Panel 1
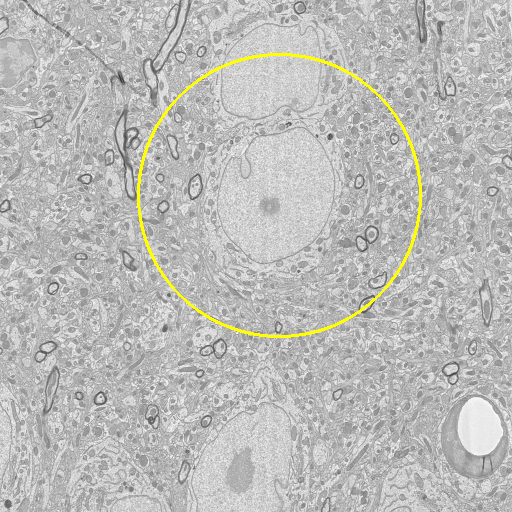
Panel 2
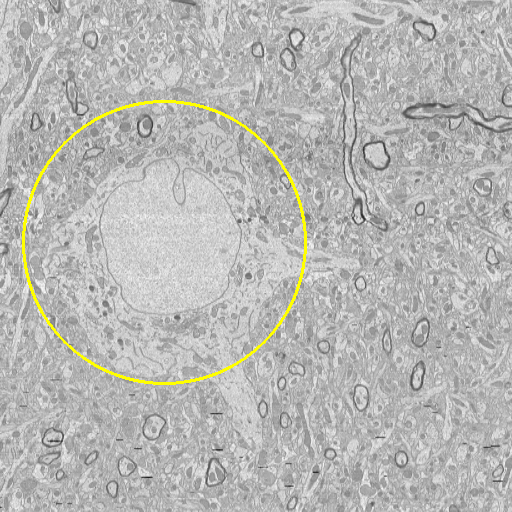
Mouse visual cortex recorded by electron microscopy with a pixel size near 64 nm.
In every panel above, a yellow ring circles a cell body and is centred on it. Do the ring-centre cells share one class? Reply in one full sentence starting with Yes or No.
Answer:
Yes, the two cells at the ring centres in the panels belong to one class.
